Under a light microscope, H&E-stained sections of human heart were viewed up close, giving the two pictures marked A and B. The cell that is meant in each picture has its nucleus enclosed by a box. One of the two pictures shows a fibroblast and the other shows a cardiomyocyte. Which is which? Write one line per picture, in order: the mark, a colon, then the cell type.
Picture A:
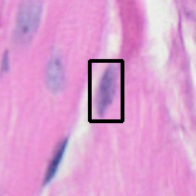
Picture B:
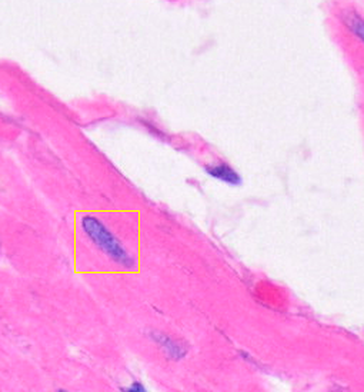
A: fibroblast
B: cardiomyocyte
